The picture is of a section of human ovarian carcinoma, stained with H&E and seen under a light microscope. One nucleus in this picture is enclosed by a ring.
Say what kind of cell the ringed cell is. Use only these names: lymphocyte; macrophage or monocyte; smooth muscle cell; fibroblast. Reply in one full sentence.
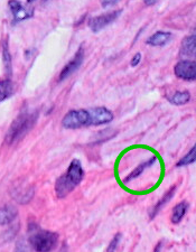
Cell type answer for this item: the ringed cell is a fibroblast.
